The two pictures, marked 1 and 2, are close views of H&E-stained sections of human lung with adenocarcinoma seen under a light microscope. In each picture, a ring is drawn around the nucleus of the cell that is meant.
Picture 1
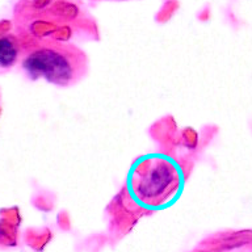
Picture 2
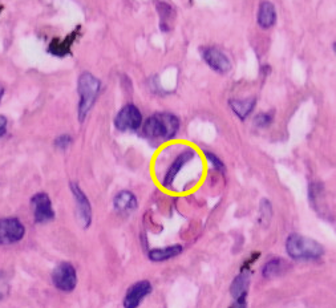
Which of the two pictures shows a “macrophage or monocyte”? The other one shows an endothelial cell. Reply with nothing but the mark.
1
